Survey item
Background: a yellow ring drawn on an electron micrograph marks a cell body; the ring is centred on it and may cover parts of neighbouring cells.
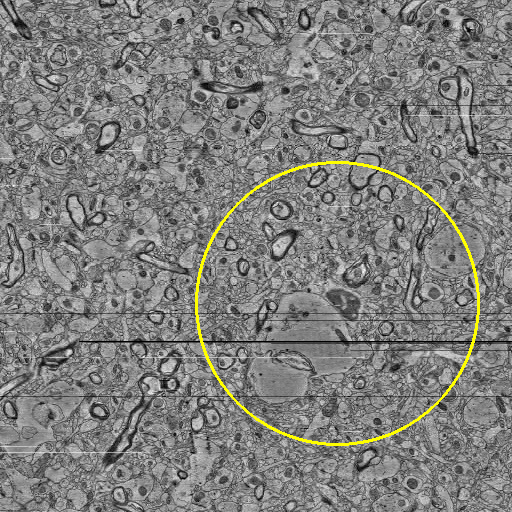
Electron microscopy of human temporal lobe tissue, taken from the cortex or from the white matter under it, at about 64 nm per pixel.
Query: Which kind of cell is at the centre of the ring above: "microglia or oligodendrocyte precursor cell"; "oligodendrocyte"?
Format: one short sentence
The cell in the middle of the ring is a microglial cell or oligodendrocyte precursor cell.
